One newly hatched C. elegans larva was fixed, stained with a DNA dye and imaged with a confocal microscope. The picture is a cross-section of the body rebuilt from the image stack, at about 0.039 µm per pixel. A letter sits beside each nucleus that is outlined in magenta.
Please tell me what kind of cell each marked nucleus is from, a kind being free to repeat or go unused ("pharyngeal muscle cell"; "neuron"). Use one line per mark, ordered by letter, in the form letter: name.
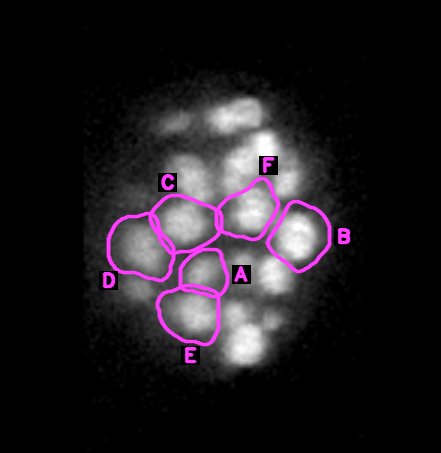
A: pharyngeal muscle cell
B: neuron
C: pharyngeal muscle cell
D: neuron
E: neuron
F: pharyngeal muscle cell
